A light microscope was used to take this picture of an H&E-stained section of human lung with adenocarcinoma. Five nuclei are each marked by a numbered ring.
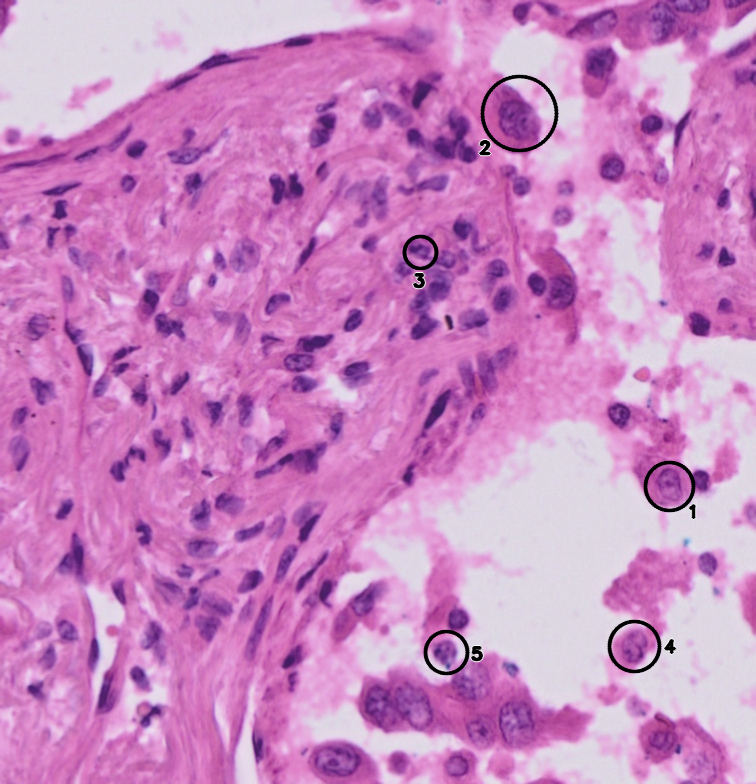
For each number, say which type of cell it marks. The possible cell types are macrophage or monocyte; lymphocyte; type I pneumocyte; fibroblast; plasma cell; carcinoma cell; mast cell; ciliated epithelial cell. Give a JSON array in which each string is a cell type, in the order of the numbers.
["macrophage or monocyte", "carcinoma cell", "plasma cell", "macrophage or monocyte", "lymphocyte"]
